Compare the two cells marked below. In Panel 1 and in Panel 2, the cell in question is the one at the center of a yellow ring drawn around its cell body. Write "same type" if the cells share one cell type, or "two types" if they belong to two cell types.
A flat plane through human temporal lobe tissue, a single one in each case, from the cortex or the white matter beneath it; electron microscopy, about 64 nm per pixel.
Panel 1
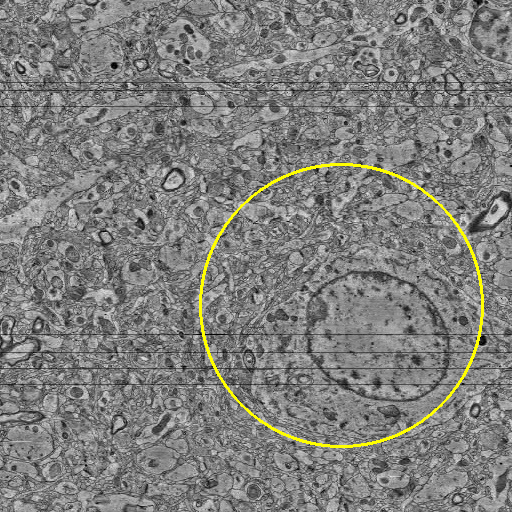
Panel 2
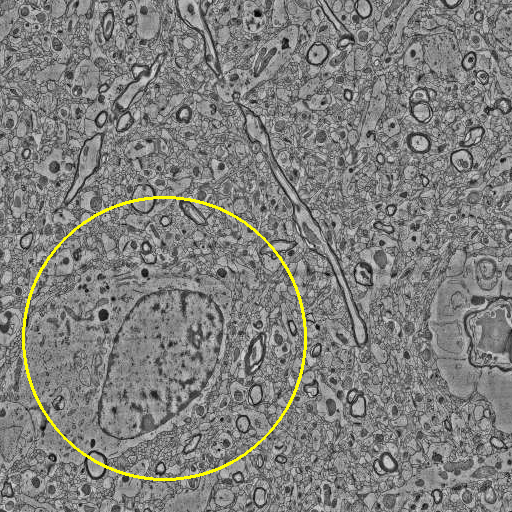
two types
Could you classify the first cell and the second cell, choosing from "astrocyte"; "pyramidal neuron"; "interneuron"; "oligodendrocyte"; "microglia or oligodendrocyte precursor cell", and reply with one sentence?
The second cell is a microglial cell or oligodendrocyte precursor cell, while the first is an oligodendrocyte.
